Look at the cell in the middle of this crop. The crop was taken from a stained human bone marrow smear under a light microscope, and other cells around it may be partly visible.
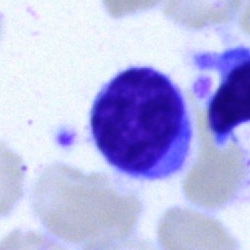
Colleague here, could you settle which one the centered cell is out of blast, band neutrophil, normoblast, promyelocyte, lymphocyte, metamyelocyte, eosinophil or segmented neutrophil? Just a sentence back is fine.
This crop's central cell is a lymphocyte.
